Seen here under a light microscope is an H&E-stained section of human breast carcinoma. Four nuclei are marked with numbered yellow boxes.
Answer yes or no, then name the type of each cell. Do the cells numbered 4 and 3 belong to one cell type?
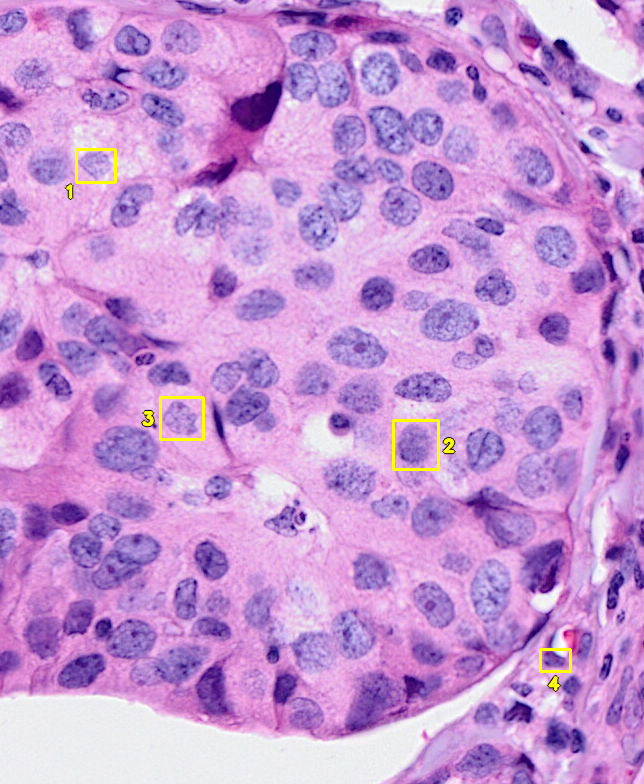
No, cell 4 is an endothelial cell and cell 3 is a carcinoma cell.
